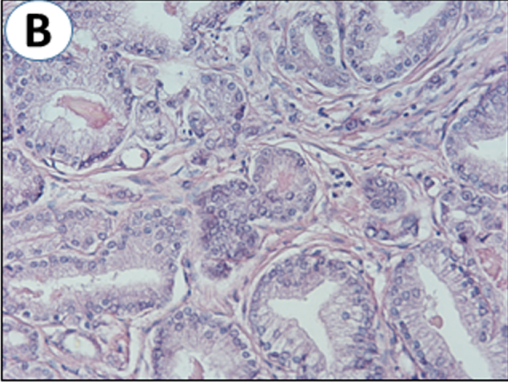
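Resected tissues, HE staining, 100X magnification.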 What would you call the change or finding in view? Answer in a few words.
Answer: Prostate adenocarcinoma.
